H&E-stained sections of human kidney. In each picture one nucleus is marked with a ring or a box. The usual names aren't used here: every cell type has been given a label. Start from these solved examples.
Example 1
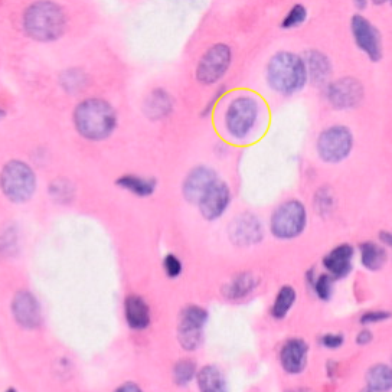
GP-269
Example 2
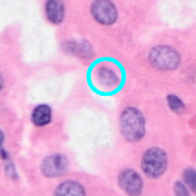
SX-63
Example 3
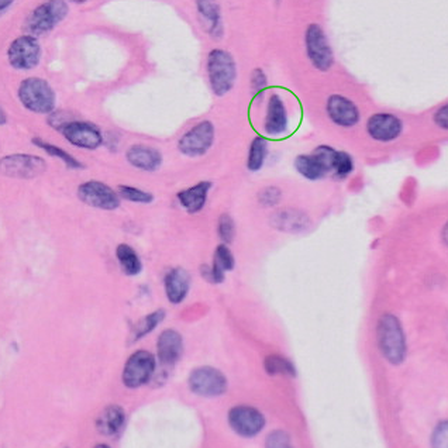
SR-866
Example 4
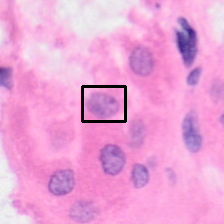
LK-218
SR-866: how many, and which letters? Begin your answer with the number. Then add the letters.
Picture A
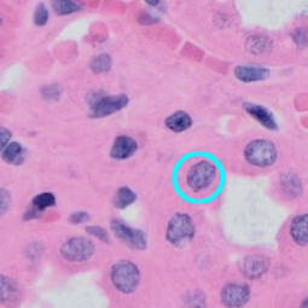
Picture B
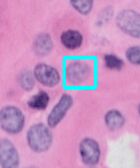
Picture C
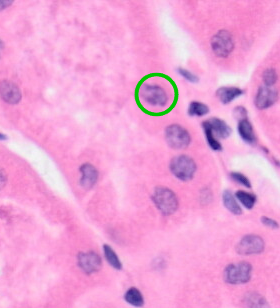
0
